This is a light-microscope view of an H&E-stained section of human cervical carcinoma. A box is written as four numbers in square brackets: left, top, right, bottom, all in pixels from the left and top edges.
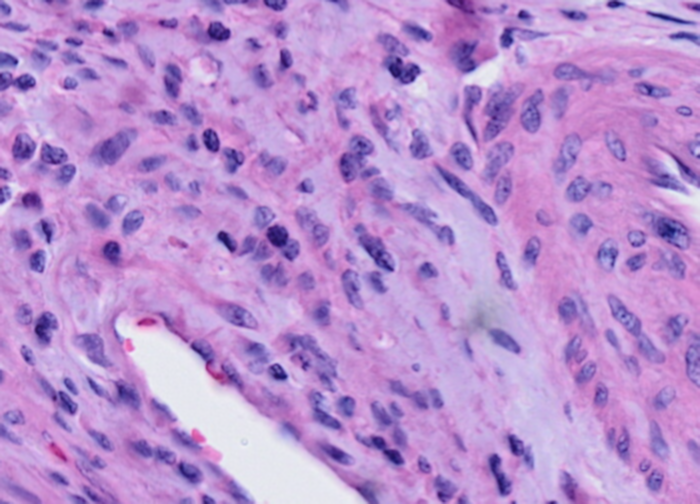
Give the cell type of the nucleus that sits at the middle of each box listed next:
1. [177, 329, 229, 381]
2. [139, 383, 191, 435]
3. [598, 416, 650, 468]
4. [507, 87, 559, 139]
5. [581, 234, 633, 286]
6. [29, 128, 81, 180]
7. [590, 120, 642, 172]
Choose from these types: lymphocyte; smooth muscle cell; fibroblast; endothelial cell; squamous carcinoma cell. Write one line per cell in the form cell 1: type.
cell 1: endothelial cell
cell 2: endothelial cell
cell 3: smooth muscle cell
cell 4: smooth muscle cell
cell 5: smooth muscle cell
cell 6: lymphocyte
cell 7: smooth muscle cell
